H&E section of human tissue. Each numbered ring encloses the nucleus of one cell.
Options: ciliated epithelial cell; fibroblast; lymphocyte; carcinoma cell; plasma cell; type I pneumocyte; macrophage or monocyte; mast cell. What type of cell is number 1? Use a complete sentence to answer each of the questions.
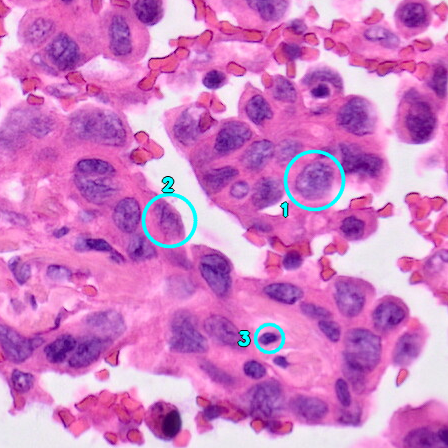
Classified as a carcinoma cell is the cell with the number 1.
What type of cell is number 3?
Cell 3 is classified as a lymphocyte.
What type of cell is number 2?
The cell tagged with 2 in this tissue section is a carcinoma cell.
